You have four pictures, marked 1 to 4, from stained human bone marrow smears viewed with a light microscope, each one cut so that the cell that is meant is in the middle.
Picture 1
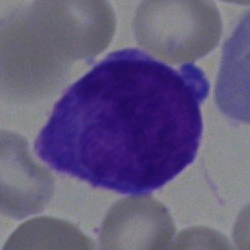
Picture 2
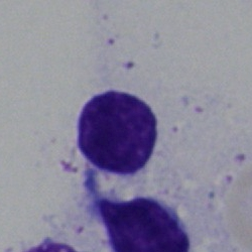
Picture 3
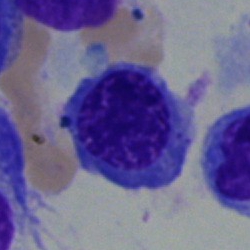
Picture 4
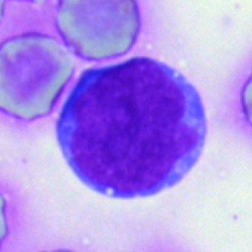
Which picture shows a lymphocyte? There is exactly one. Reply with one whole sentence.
Picture 2 is the one that shows the lymphocyte.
